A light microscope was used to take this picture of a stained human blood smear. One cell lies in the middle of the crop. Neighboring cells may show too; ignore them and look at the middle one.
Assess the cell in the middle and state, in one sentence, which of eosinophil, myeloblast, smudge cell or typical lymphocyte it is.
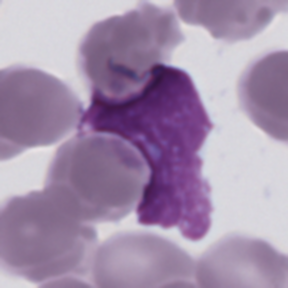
Within this crop, a smudge cell occupies the central position.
